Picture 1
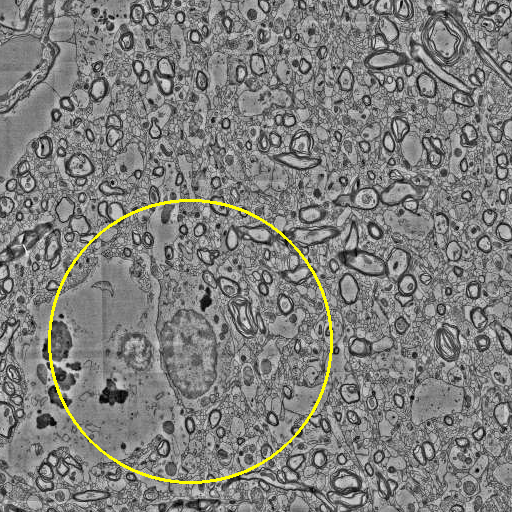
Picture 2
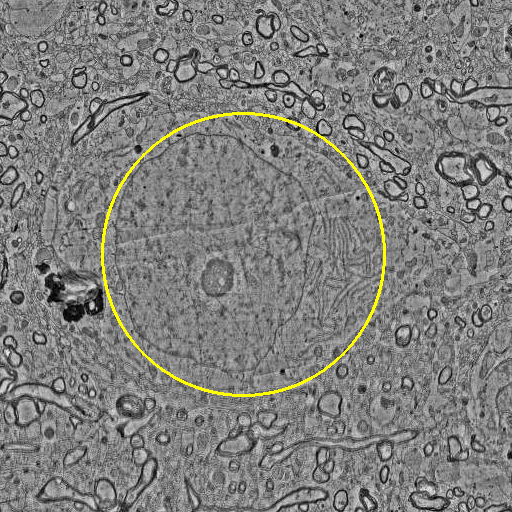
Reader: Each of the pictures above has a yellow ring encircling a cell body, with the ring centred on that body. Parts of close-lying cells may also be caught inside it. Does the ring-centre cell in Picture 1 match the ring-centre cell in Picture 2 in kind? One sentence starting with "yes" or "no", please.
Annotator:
No, Picture 1 and Picture 2 show ring-centre cells of two kinds.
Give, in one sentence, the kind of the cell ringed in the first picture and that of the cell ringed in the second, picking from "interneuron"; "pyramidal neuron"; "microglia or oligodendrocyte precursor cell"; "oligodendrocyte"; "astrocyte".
For the first picture it is an oligodendrocyte; for the second, a pyramidal neuron.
